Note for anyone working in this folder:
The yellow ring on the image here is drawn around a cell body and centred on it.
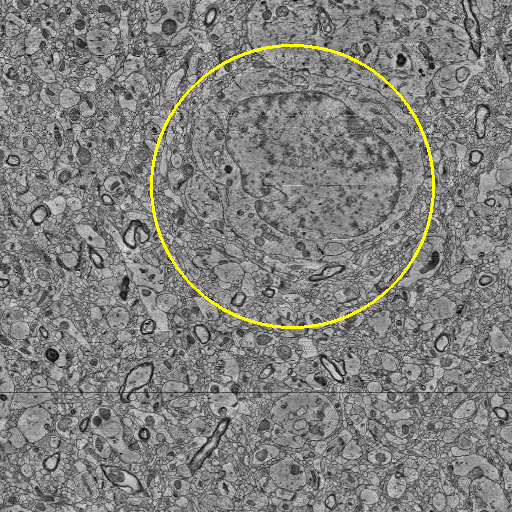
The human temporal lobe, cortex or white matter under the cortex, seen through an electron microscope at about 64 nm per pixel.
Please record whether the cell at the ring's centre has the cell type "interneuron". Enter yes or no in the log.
yes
